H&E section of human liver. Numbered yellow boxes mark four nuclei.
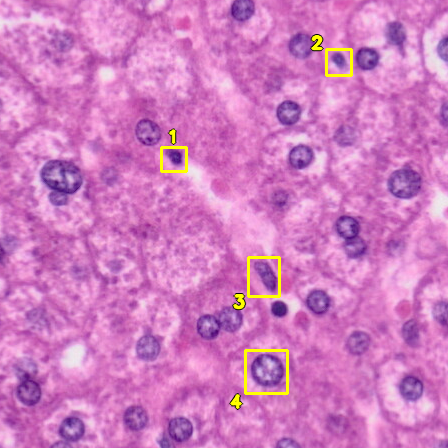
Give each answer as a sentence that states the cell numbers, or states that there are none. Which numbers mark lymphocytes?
The cells tagged with numbers 1 and 2 are lymphocytes.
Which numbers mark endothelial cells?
None of the cells labelled with numbers belong to the endothelial cells.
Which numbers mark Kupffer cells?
The cell bearing the number 3 is a Kupffer cell, unlike the rest of the numbered cells.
